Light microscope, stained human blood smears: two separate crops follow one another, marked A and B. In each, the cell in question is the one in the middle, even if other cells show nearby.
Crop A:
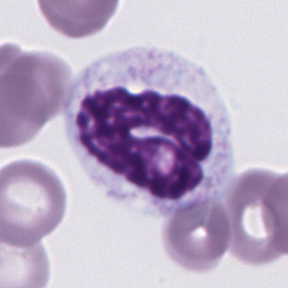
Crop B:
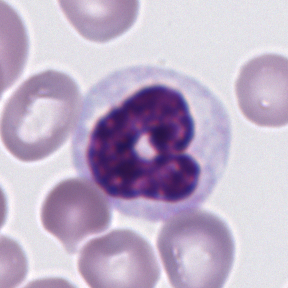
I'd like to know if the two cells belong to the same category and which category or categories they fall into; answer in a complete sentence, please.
Yes, the cells under consideration in both crops are band neutrophils.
